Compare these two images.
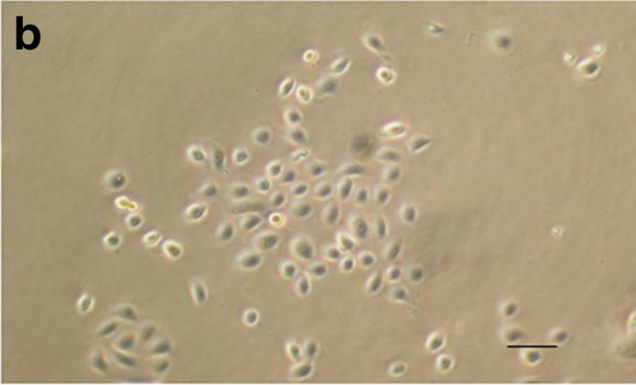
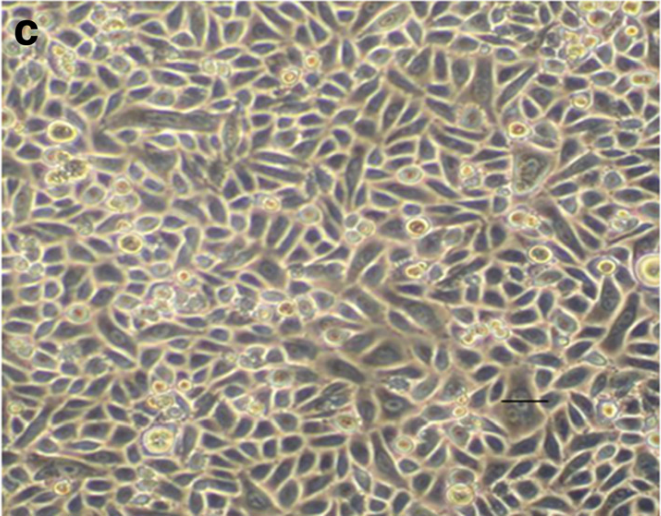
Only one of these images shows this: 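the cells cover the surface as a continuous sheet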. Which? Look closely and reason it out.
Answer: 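First image: a small scattered cluster of separate cells on mostly empty background. Second image: closely packed flat cells fill the whole field.
Conclusion: the second image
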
